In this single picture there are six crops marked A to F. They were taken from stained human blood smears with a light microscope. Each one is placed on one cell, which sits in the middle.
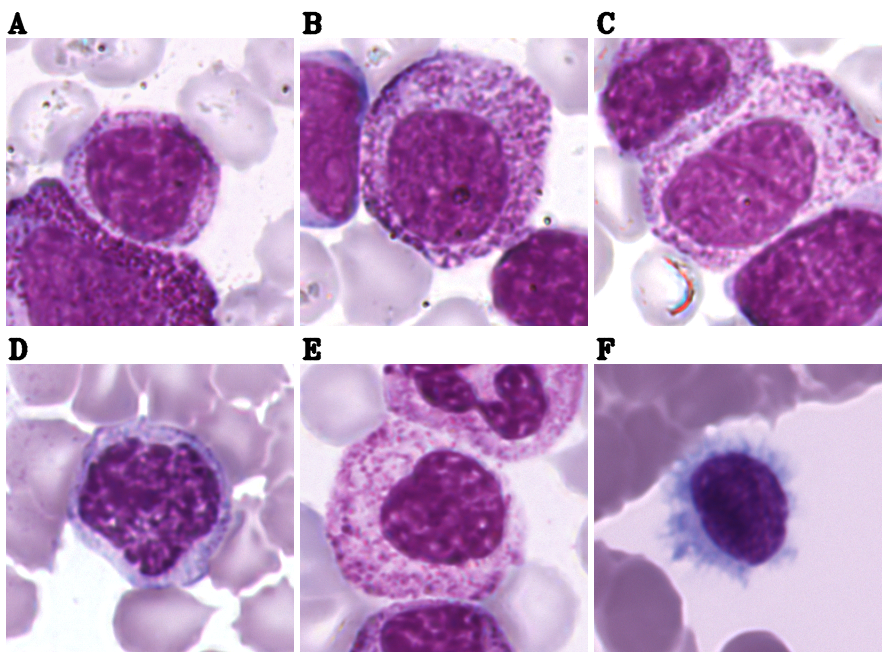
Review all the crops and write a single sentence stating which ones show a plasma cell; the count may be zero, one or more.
No crop, from the first to the last, shows a plasma cell.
